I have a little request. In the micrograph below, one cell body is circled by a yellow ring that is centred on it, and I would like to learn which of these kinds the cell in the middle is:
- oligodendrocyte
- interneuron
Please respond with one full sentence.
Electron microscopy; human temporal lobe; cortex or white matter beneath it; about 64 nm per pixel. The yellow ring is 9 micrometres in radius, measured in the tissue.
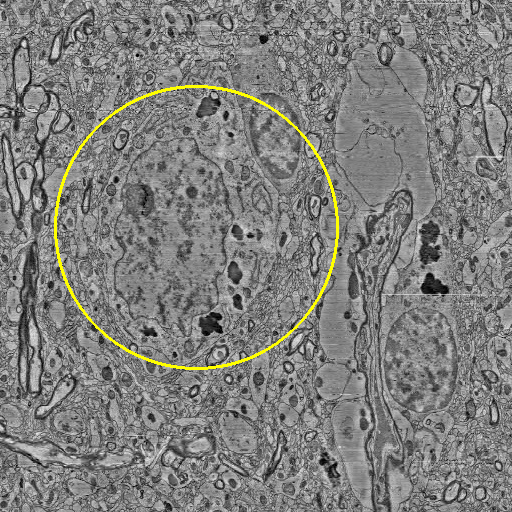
The cell sitting in the middle of the yellow ring in the micrograph is an interneuron.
